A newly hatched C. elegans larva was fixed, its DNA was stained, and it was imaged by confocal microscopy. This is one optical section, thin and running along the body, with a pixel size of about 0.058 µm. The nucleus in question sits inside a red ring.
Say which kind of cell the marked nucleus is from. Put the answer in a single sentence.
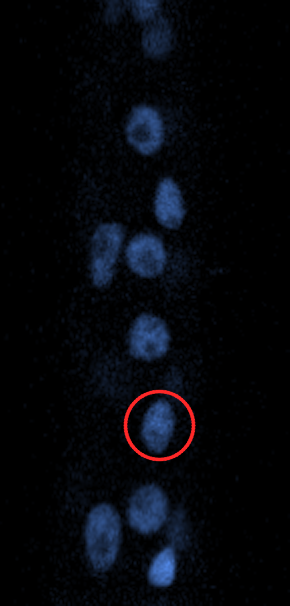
It is the nucleus of a P cell (ventral epidermal blast cell).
